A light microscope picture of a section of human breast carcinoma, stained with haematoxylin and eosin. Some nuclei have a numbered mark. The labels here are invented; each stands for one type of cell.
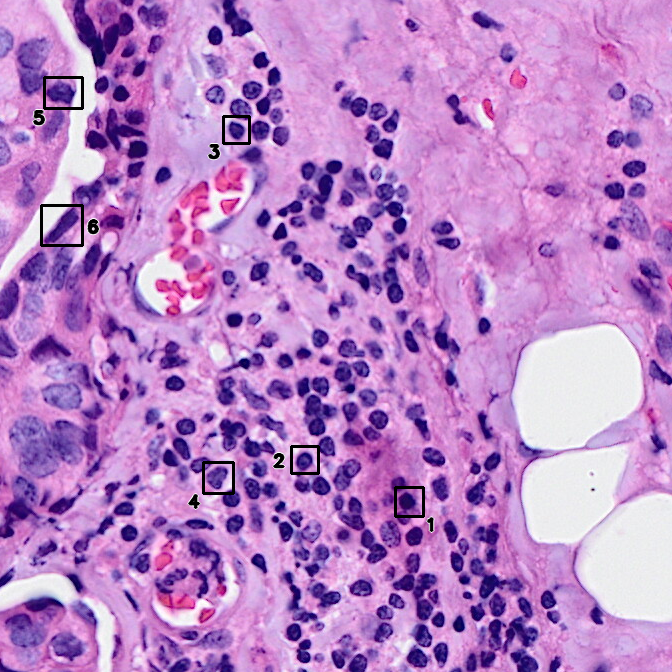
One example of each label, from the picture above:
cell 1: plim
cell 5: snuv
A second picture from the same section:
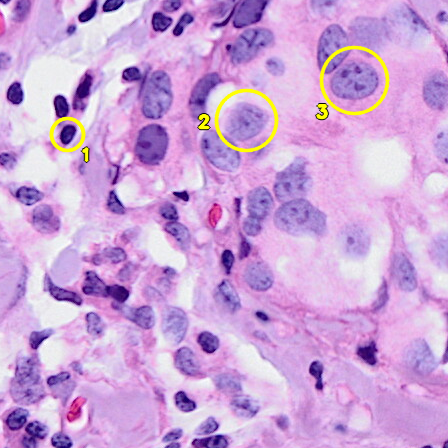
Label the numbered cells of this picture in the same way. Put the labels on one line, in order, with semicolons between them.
plim; snuv; snuv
